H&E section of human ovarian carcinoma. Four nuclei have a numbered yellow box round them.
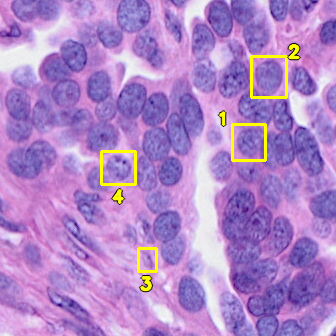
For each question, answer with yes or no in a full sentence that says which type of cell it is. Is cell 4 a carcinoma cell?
No, the cell identified by number 4 is a macrophage or monocyte, not a carcinoma cell.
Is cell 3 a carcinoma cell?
No, what is marked as number 3 is a fibroblast rather than a carcinoma cell.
